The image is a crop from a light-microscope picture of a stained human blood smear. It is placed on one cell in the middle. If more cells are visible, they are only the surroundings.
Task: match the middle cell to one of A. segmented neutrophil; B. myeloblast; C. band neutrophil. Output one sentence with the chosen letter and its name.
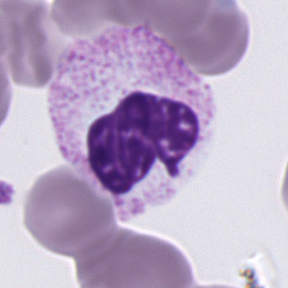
The cell placed in the middle is a segmented neutrophil; option A is correct.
